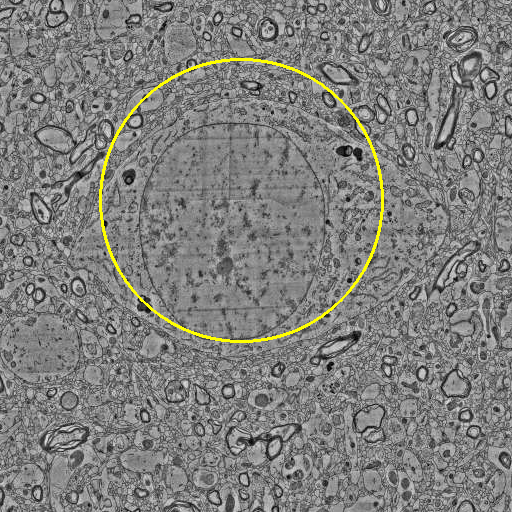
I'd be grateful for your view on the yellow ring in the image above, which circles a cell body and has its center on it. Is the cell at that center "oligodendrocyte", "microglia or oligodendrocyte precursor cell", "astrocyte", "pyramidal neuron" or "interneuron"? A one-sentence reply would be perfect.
The cell at the center of the yellow ring is a pyramidal neuron.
